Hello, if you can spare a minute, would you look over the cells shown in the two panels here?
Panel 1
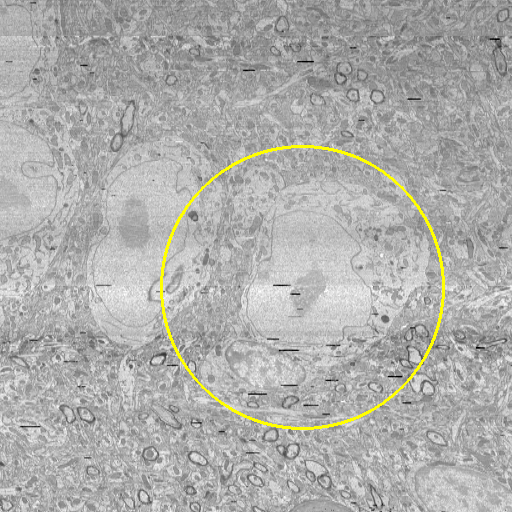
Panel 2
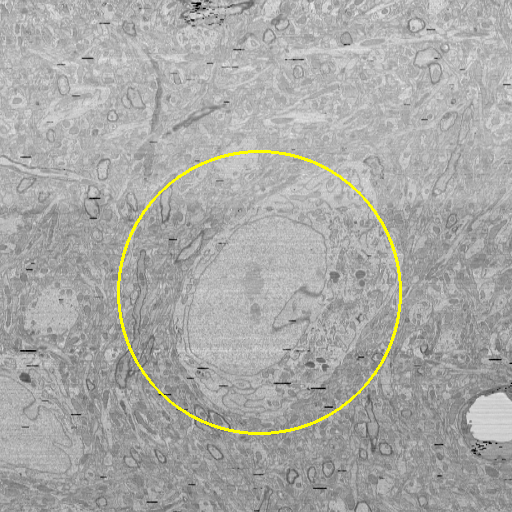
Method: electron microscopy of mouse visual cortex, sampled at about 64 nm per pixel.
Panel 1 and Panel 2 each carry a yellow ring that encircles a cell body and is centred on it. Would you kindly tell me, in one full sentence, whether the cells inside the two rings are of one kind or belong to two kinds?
The cells at the centres of the rings in Panel 1 and Panel 2 belong to two kinds.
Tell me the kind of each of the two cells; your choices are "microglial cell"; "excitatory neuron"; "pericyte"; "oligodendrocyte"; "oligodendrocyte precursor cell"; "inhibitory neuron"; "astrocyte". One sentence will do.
The ringed cell is an excitatory neuron in the first picture and an inhibitory neuron in the second picture.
